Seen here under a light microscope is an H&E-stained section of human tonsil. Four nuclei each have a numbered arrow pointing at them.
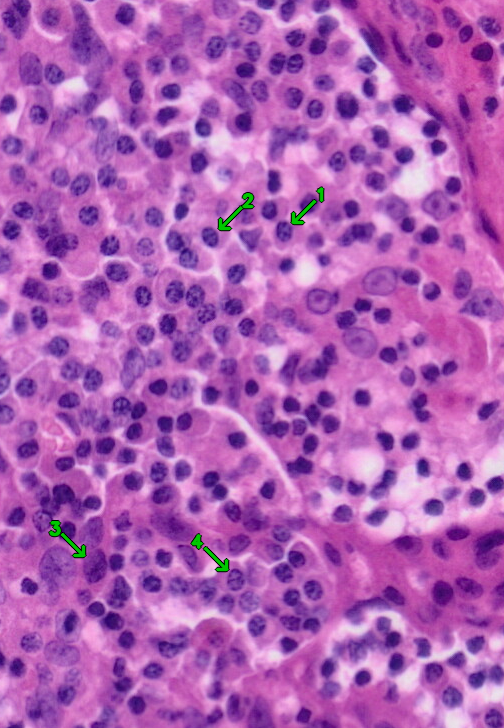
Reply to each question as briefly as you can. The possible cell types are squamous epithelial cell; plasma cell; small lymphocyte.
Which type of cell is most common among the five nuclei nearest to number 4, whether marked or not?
plasma cell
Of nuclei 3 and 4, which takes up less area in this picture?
4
